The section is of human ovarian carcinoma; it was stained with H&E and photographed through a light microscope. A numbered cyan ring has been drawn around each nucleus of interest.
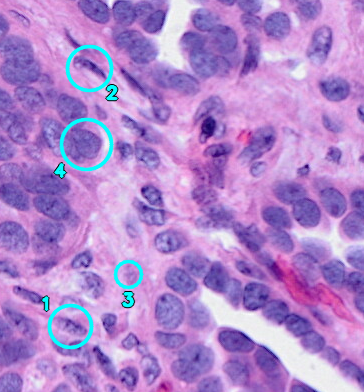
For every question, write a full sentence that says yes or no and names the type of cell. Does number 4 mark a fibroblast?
No, it is a carcinoma cell, rather than a fibroblast, that carries number 4.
